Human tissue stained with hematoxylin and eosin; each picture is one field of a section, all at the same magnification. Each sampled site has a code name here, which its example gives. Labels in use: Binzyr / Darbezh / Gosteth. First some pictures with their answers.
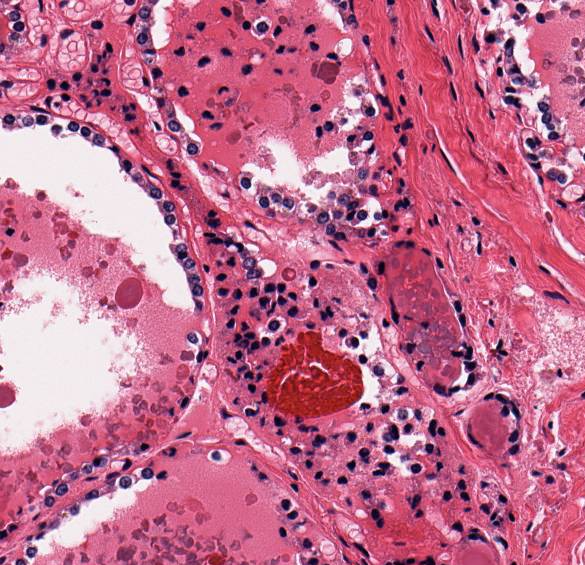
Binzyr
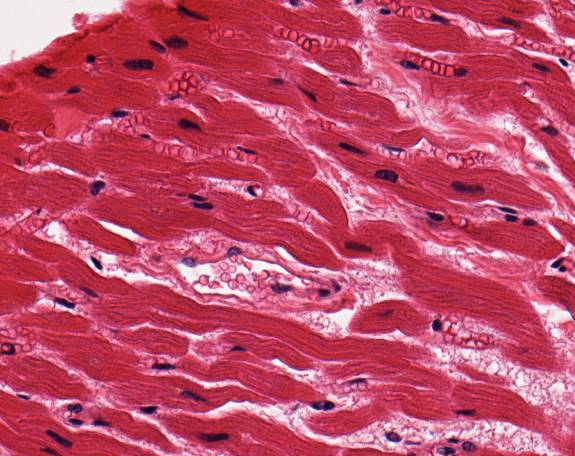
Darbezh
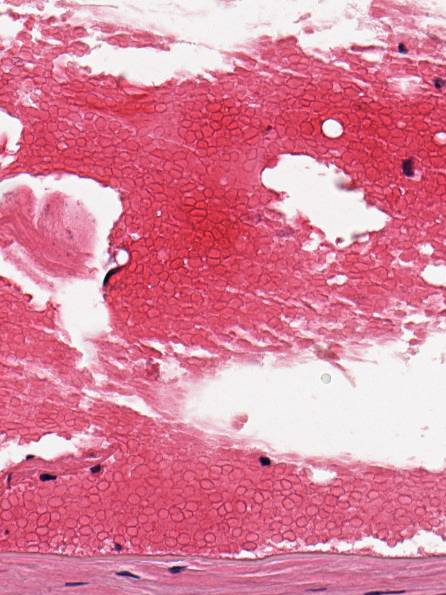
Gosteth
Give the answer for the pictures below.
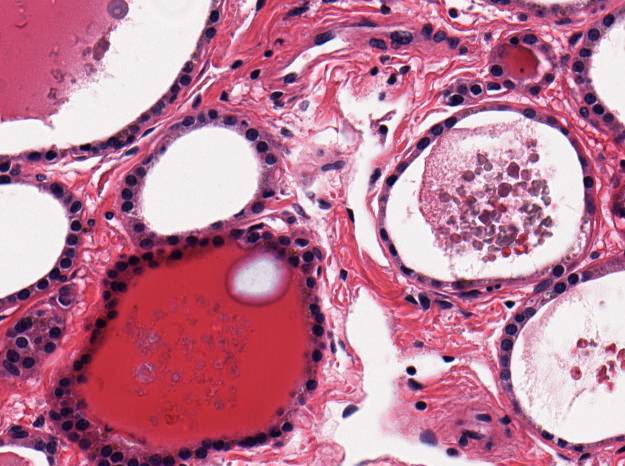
Binzyr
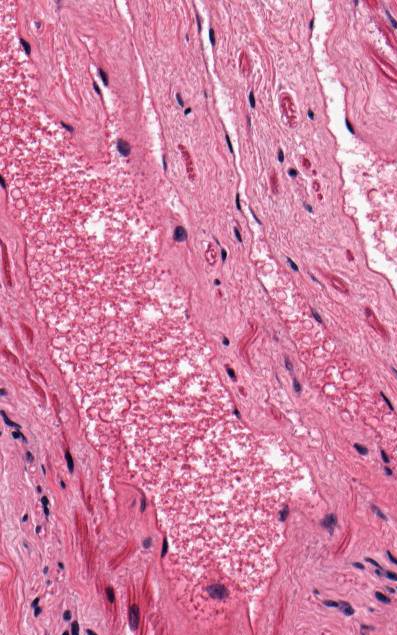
Darbezh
